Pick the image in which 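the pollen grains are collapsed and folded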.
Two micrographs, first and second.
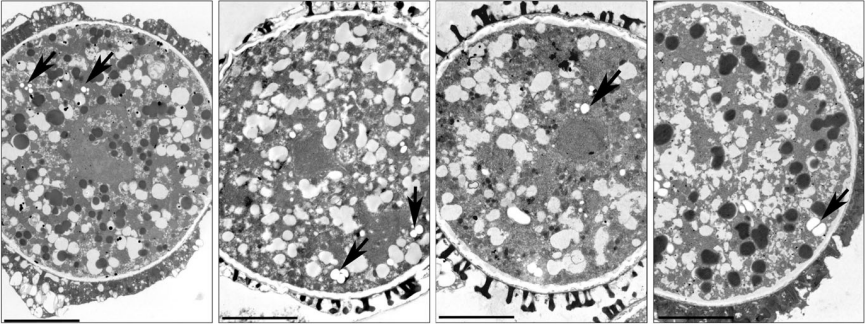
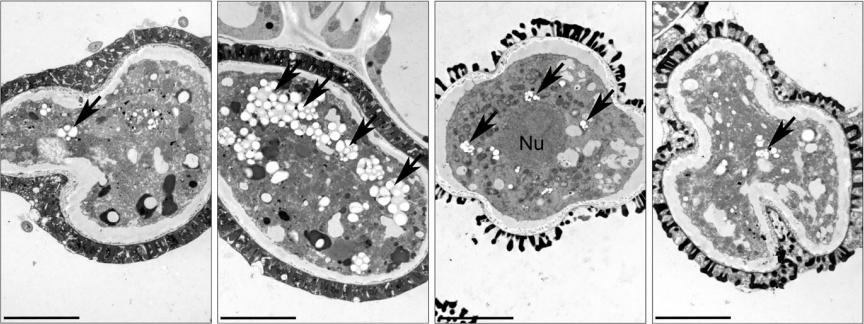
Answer: The second image.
